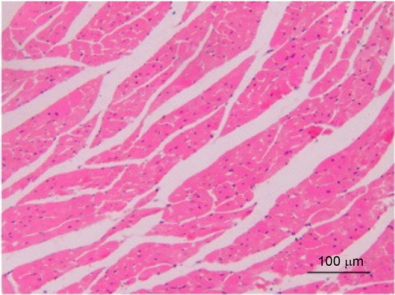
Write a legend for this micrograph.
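Heart muscle in longitudinal to oblique section, made of long pink myocardial fibers arranged neatly in parallel bundles. Small oval to round blue nuclei are scattered within the fibers, and the bundles are separated by pale clear clefts.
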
